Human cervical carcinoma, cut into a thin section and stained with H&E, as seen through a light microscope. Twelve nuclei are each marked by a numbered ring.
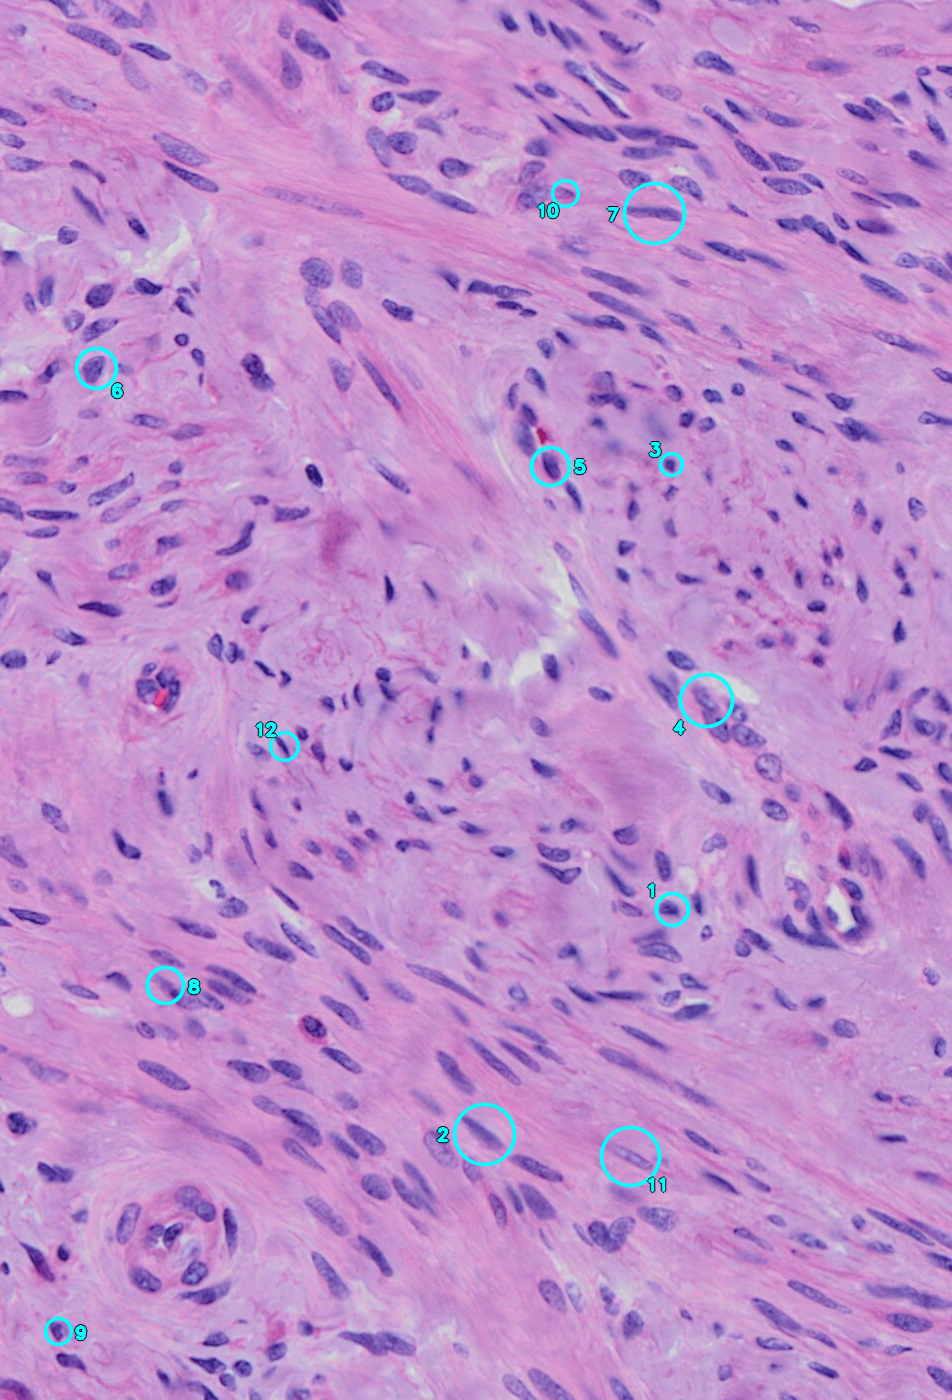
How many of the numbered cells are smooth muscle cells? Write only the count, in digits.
3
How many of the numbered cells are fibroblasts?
7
